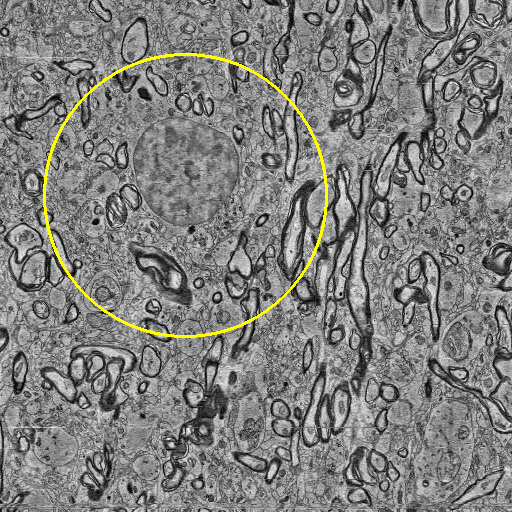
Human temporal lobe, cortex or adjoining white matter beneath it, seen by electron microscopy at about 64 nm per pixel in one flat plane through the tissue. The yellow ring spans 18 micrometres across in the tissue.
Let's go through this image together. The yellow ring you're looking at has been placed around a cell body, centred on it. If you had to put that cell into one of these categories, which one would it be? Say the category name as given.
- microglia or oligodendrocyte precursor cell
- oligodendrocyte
oligodendrocyte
